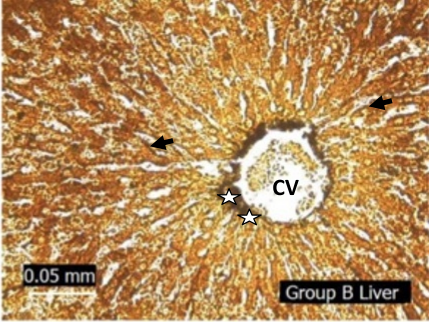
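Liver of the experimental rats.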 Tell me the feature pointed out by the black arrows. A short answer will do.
Reticular fibres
